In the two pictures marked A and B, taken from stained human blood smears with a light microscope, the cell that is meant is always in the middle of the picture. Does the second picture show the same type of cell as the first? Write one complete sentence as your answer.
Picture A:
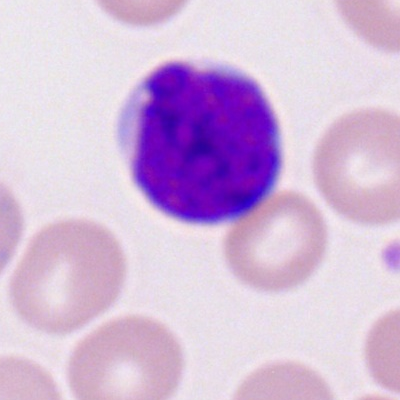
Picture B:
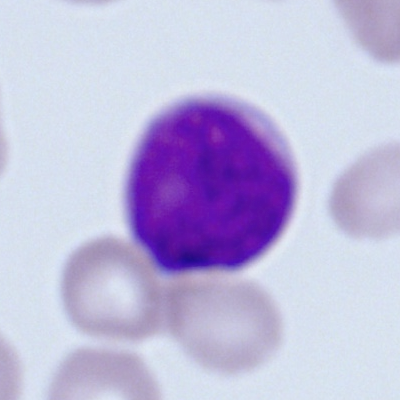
Yes, both cells are myeloblasts.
